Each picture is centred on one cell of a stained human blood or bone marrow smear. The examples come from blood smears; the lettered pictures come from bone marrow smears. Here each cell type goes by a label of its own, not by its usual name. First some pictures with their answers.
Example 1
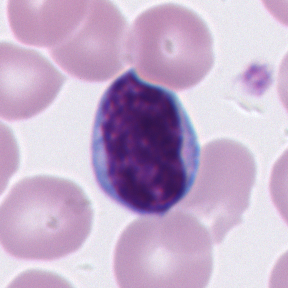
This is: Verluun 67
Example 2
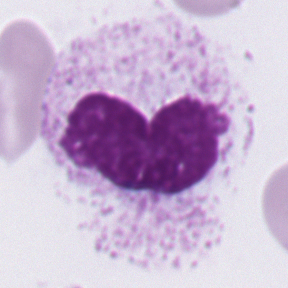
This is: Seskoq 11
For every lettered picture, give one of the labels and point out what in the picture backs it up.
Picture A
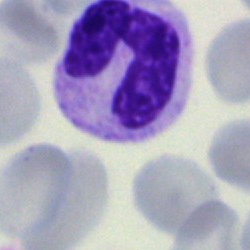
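Seskoq 11: The cytoplasm is plentiful and pale pinkish-lilac.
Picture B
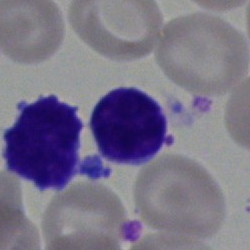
Verluun 67: Cytoplasm is scant, showing at most as a thin rim.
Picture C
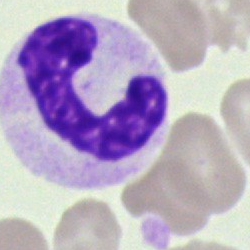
Seskoq 11: The cytoplasm is abundant and pale lilac-pink.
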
